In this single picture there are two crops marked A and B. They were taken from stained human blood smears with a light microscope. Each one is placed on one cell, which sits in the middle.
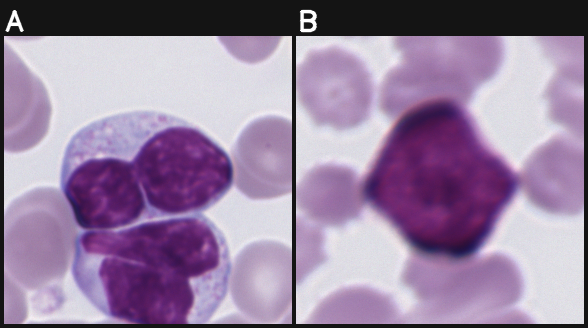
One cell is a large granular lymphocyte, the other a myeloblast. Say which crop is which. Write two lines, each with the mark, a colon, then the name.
A: large granular lymphocyte
B: myeloblast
